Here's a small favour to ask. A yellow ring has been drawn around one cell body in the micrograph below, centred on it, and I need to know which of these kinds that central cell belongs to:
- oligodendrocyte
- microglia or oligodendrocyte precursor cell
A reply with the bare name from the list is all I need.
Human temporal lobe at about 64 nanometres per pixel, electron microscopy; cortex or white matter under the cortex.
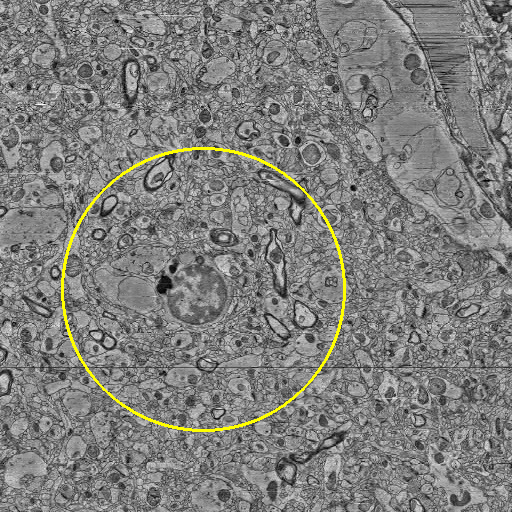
oligodendrocyte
